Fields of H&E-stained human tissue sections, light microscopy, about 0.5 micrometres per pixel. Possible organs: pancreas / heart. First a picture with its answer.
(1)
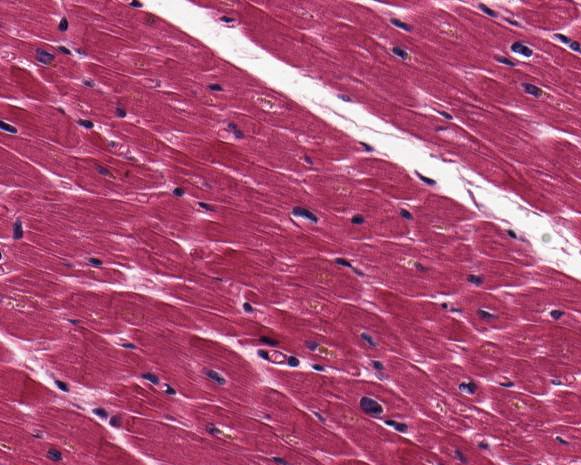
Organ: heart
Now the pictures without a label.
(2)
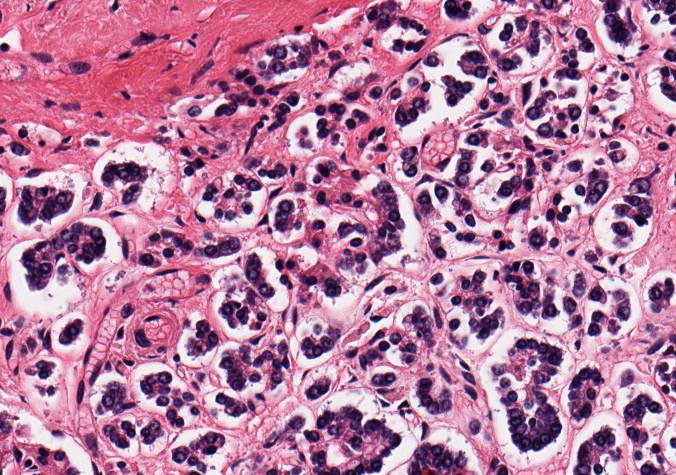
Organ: pancreas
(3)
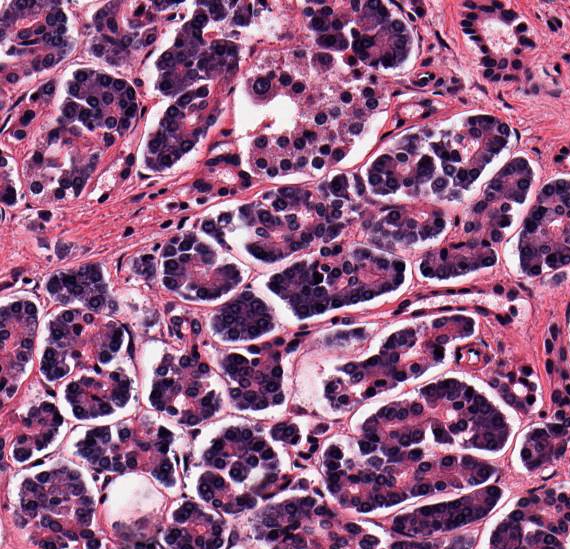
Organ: pancreas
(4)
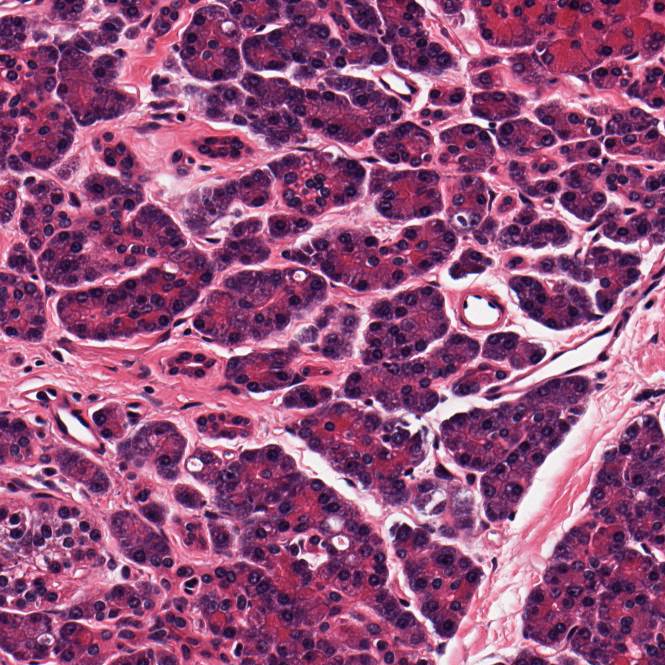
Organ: pancreas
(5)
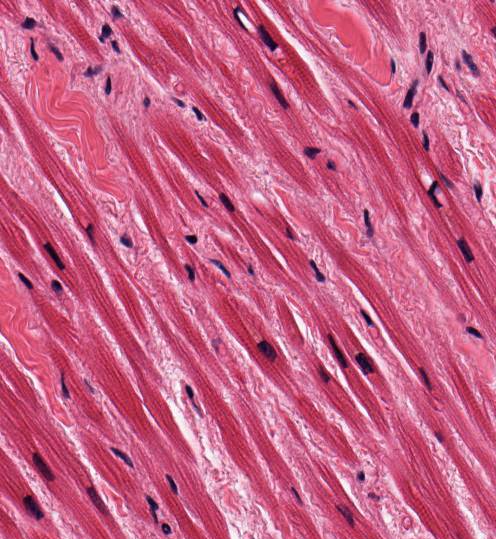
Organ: heart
